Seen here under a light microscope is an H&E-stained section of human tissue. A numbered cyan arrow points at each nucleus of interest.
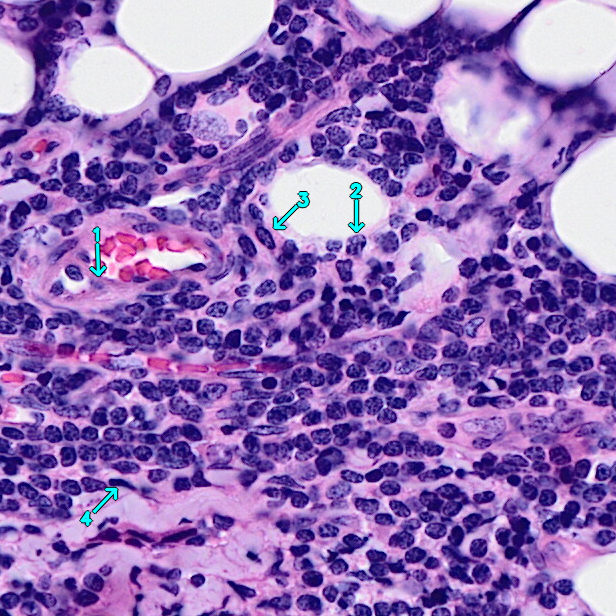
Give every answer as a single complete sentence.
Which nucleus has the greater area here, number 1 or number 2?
Nucleus 2 is larger, with an area about 2.5 times that of nucleus 1.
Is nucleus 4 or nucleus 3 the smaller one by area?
Nucleus 4 covers less area, with nucleus 3 about 1.5 times as large.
